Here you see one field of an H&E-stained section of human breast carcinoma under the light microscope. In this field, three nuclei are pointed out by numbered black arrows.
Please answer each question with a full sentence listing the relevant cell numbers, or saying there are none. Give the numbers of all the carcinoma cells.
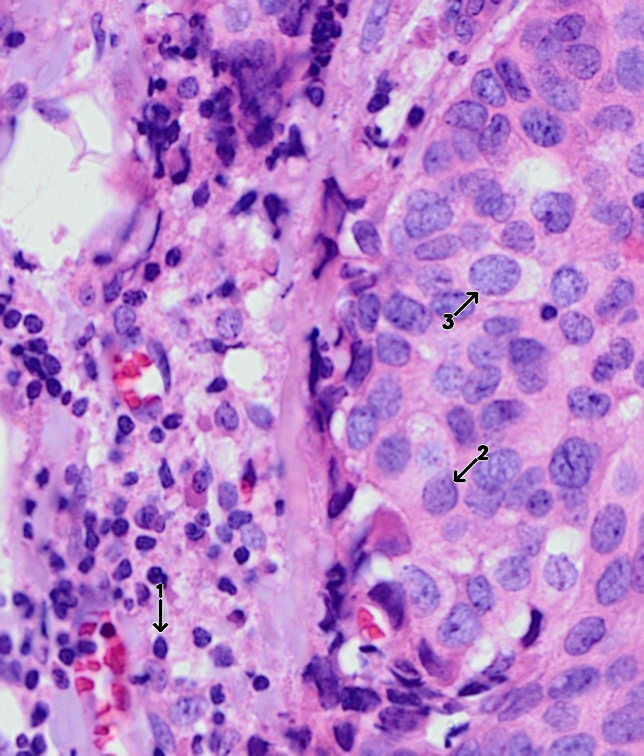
The cells shown with numbers 2 and 3 are carcinoma cells.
